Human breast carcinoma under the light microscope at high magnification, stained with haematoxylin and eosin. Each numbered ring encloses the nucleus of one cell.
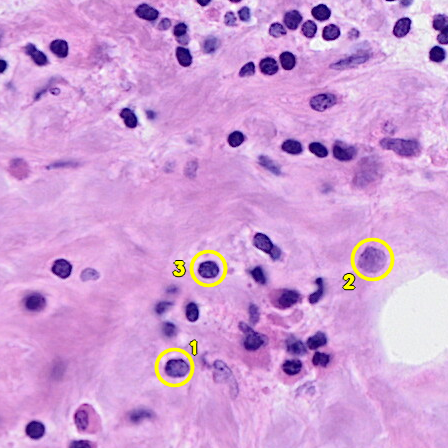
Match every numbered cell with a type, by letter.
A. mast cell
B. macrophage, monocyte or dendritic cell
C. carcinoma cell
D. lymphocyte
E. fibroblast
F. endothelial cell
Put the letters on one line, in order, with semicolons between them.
D; E; D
